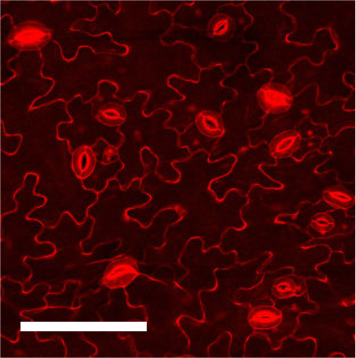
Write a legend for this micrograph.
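Leaf epidermis with cell walls outlined in red, made up of large jigsaw-shaped pavement cells with wavy interlocking walls. Many stomata lie scattered between them, each seen as a pair of guard cells forming a bright oval ring around a central slit-shaped pore.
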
